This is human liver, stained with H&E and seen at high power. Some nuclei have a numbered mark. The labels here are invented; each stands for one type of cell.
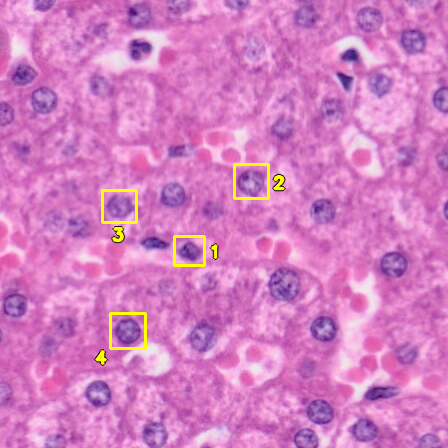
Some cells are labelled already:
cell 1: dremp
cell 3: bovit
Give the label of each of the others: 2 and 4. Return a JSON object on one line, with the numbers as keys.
{"2": "bovit", "4": "bovit"}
